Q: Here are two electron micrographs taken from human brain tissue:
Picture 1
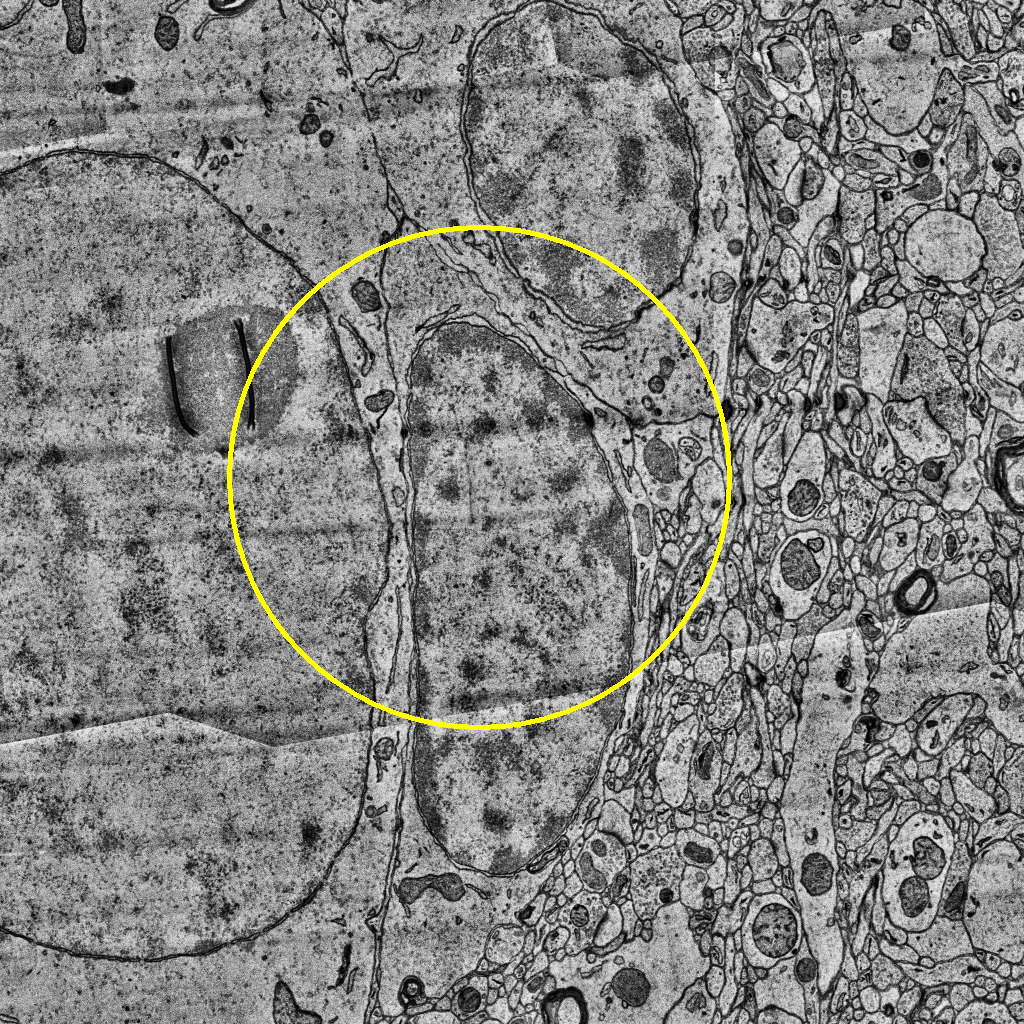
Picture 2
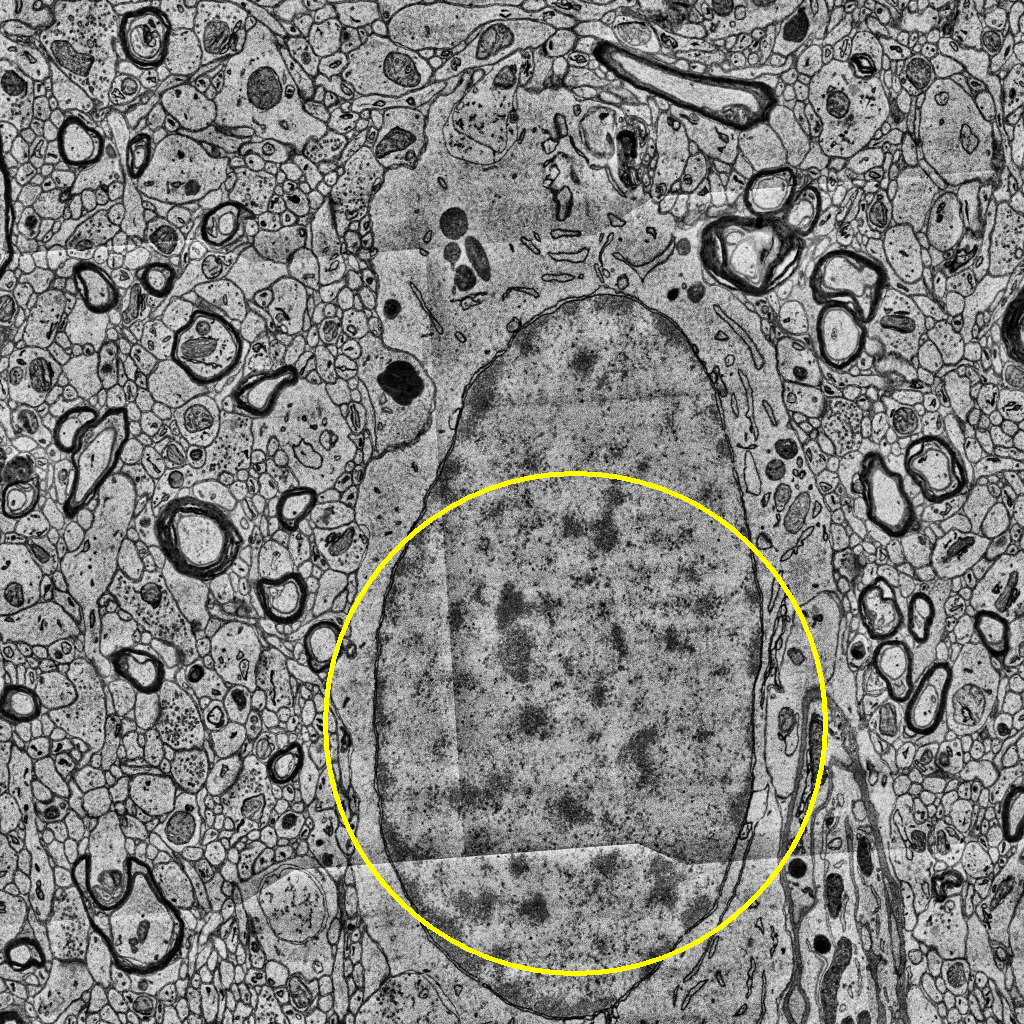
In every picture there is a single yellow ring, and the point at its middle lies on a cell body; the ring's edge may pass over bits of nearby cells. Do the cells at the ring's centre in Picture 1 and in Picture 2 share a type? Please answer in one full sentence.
Yes, the cells at the ring's centre in Picture 1 and Picture 2 share a type.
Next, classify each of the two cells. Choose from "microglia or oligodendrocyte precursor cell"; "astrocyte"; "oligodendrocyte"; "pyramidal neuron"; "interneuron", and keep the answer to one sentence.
The cell in the first picture is a microglial cell or oligodendrocyte precursor cell, and so is the one in the second.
